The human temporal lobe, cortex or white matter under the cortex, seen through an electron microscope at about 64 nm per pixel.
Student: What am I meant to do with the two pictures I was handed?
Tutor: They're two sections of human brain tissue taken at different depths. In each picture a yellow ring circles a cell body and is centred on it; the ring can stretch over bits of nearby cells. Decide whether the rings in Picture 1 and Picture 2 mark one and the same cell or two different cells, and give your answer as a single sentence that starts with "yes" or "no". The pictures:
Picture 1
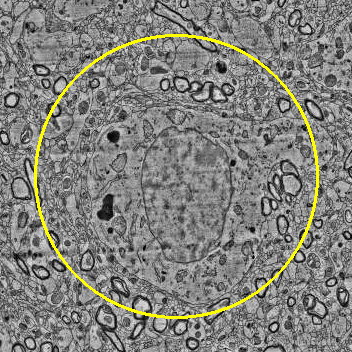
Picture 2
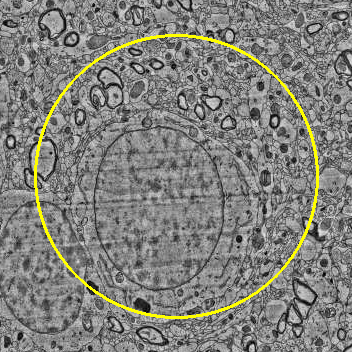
No, the yellow rings highlight two different cells in the tissue.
